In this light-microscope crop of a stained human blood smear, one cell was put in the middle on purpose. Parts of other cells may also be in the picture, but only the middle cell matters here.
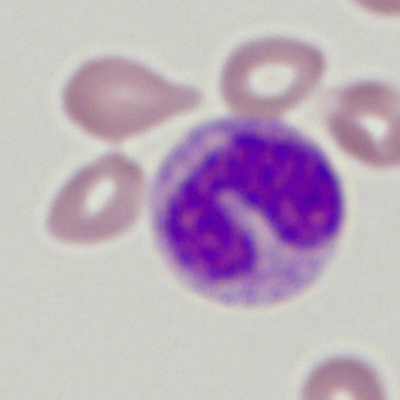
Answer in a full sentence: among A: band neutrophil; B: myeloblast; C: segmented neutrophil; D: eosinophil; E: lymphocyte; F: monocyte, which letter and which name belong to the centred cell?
It is a band neutrophil that occupies the centre of the crop, so option A is correct.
